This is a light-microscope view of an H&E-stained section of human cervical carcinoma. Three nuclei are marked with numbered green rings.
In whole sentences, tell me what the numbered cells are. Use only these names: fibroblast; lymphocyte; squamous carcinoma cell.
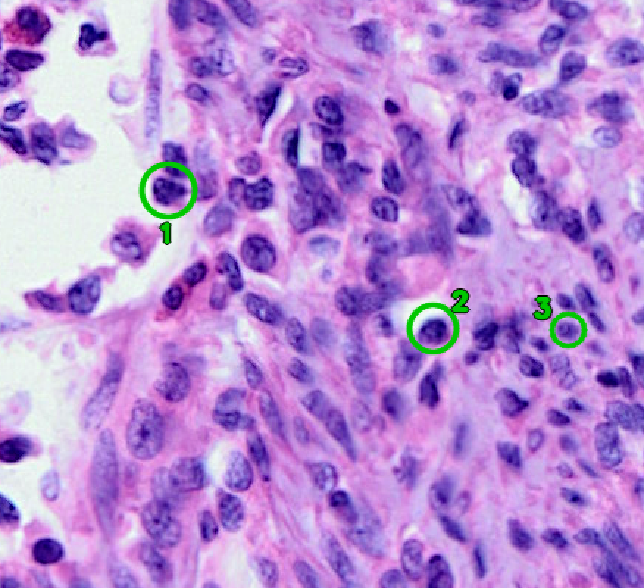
Cells 1 and 2 are lymphocytes. Cell 3 is a fibroblast.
